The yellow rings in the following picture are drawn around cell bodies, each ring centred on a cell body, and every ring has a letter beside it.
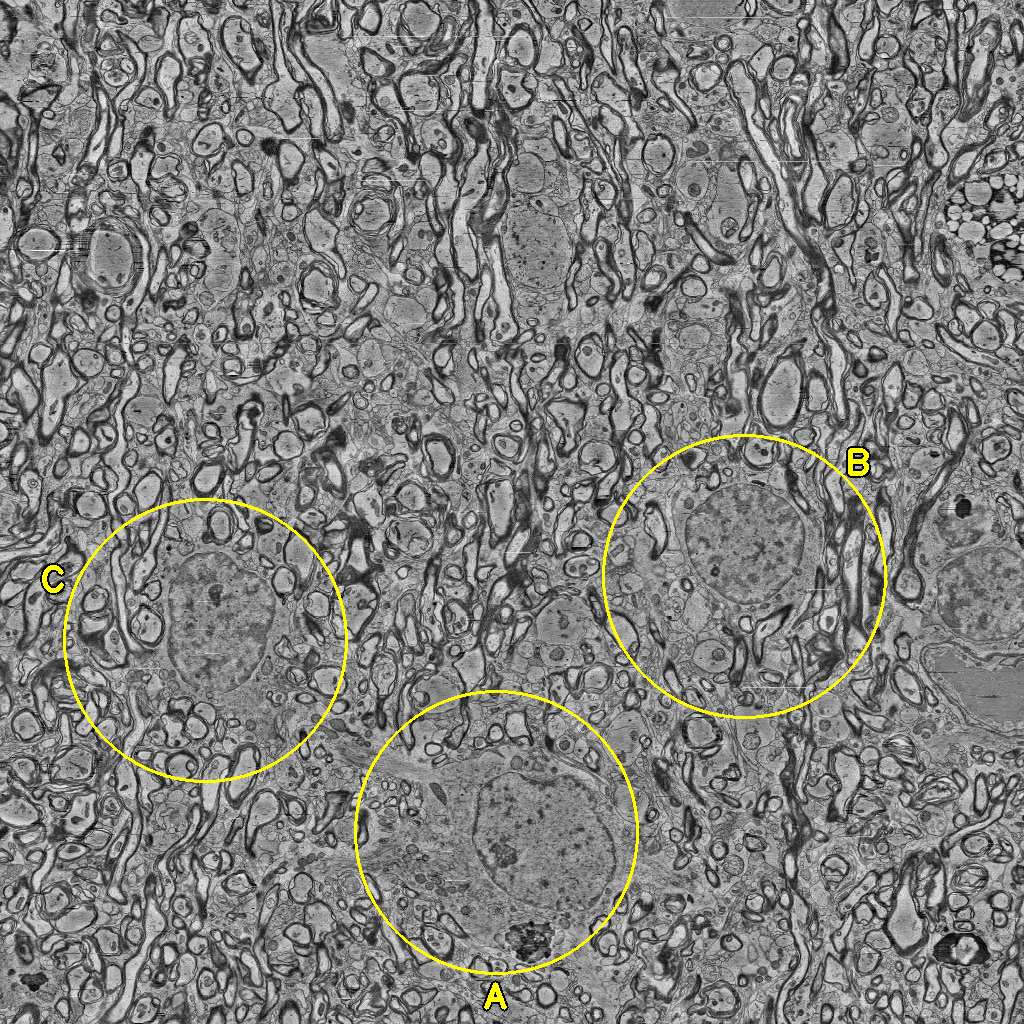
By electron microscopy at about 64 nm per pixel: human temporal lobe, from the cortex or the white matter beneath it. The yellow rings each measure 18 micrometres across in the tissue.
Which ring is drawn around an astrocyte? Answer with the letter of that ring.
A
